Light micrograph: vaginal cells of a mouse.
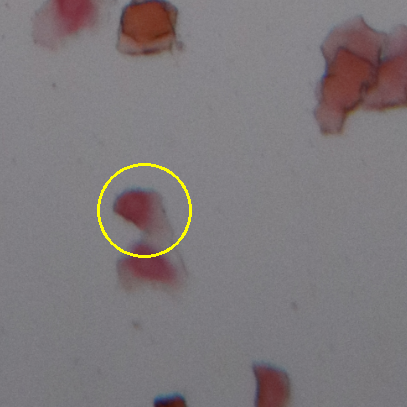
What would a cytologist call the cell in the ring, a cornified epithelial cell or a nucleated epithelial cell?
A cytologist would call it a nucleated epithelial cell.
